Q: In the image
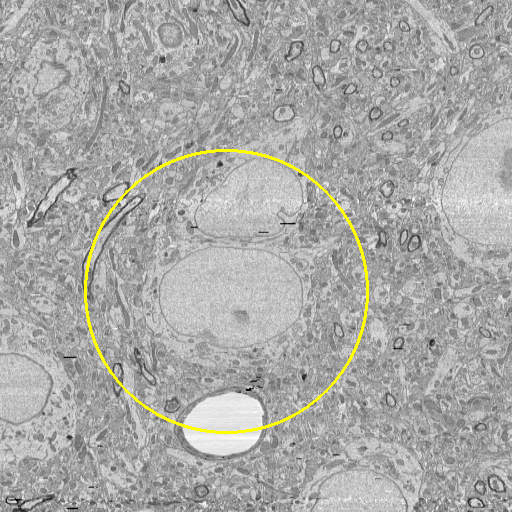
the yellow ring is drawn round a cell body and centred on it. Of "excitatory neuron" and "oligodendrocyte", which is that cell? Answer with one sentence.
The cell centred in the ring is an excitatory neuron.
